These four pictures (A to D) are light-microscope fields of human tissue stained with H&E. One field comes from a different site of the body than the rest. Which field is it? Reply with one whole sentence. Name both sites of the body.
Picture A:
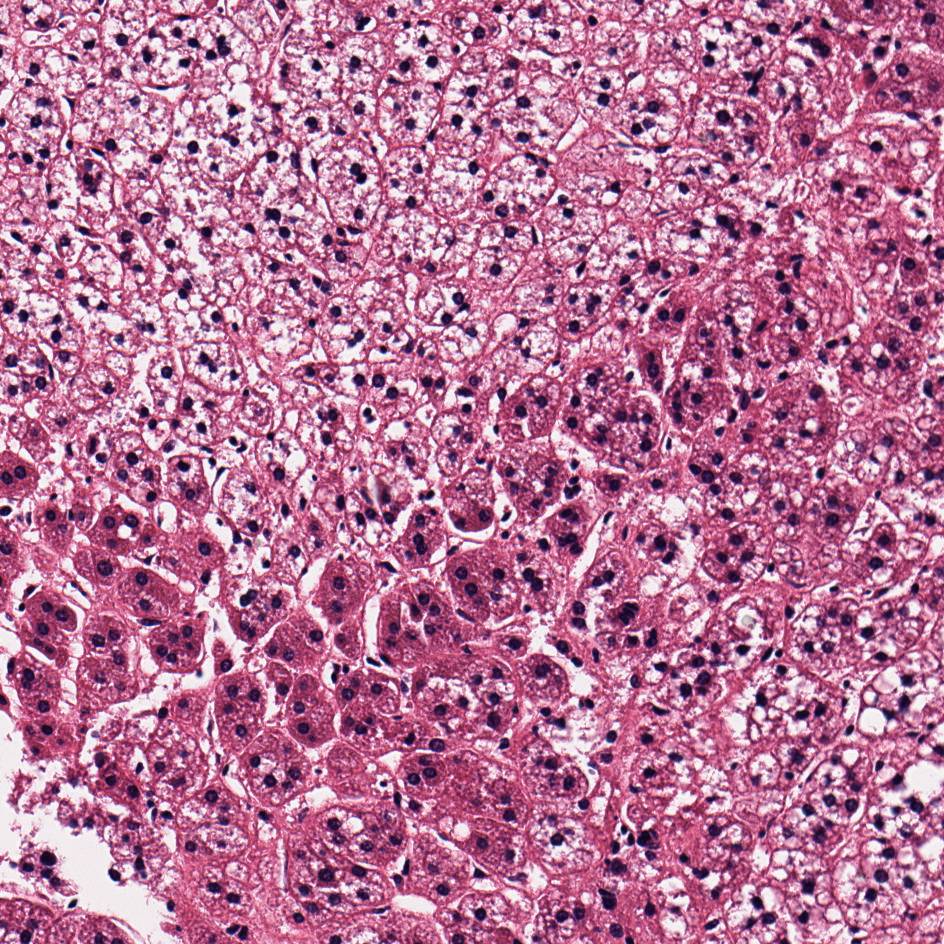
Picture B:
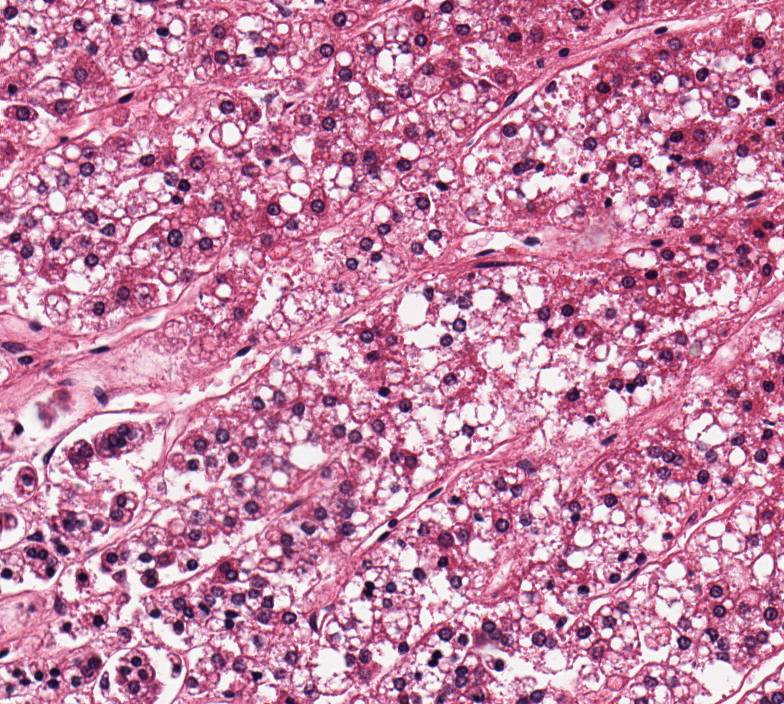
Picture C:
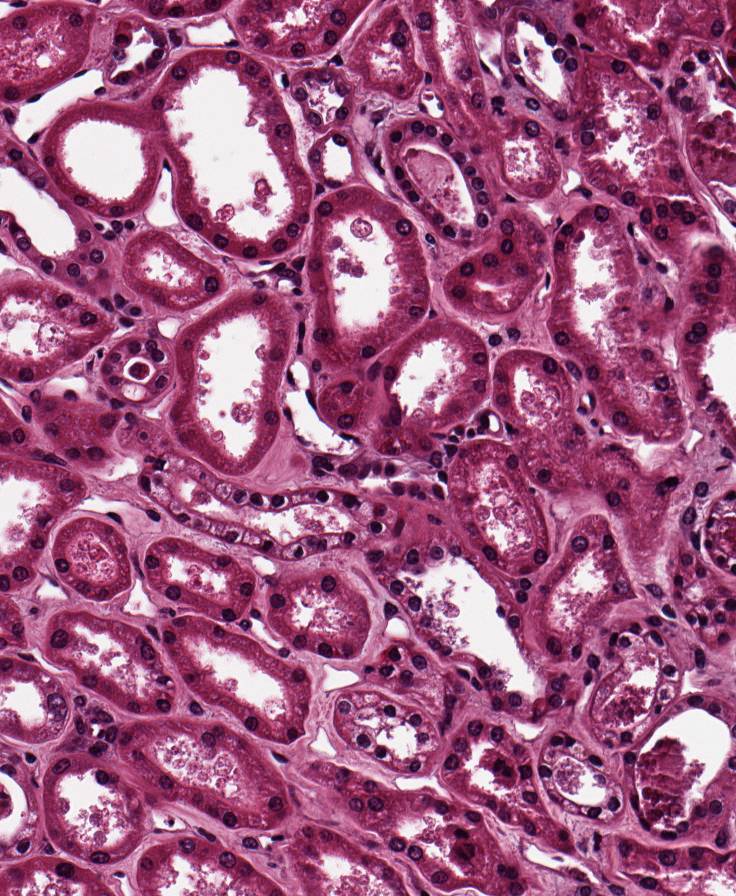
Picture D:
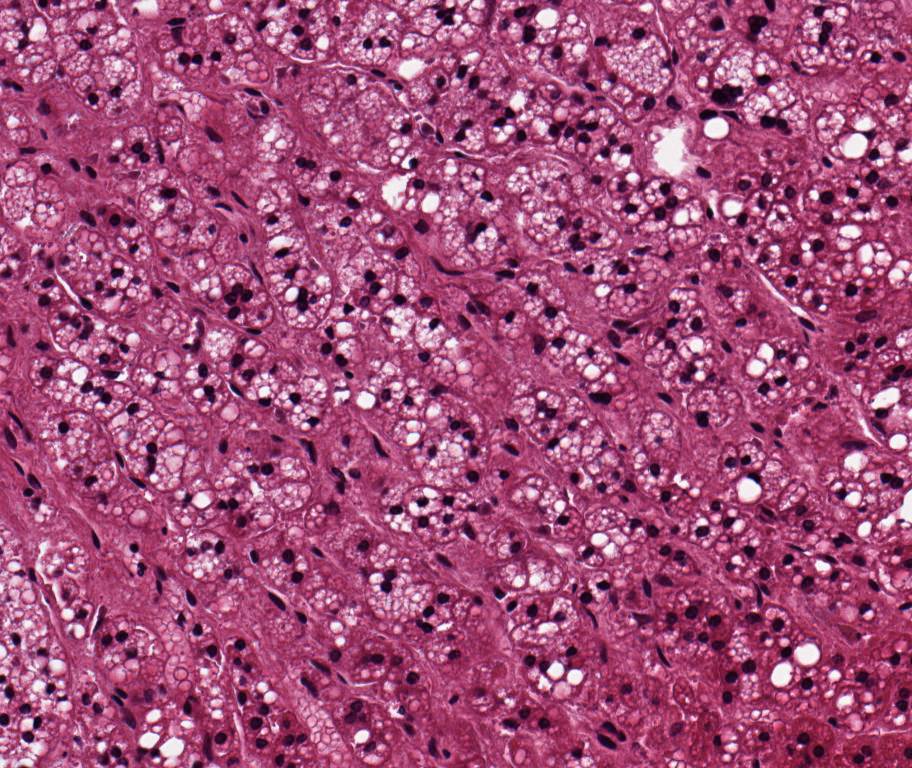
All pictures except C come from the adrenal gland; picture C comes from the renal cortex.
